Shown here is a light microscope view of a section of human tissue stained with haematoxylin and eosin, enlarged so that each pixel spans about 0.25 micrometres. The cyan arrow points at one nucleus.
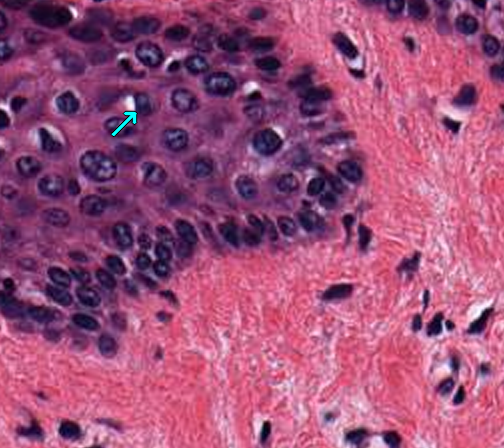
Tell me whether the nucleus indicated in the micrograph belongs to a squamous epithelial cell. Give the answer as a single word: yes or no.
yes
